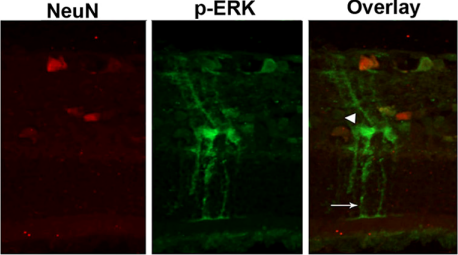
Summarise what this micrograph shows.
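The green cells have their somata in the middle nuclear layer and send long, thin, fairly straight fibres in two directions: inward across the plexiform layer towards the innermost row of neurons, and outward towards the photoreceptor layer. Elsewhere the tissue is weakly labelled, so the glial cells stand out as isolated radial columns.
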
